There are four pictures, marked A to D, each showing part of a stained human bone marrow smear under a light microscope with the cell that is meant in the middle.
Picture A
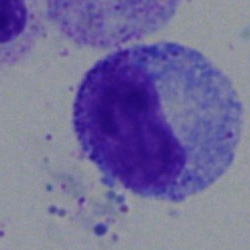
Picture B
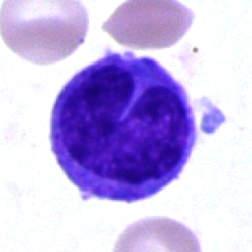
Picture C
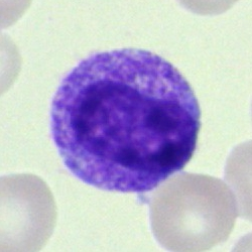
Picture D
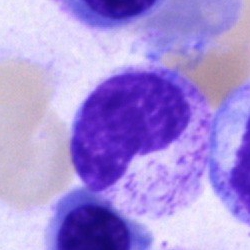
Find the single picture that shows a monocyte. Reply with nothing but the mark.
B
